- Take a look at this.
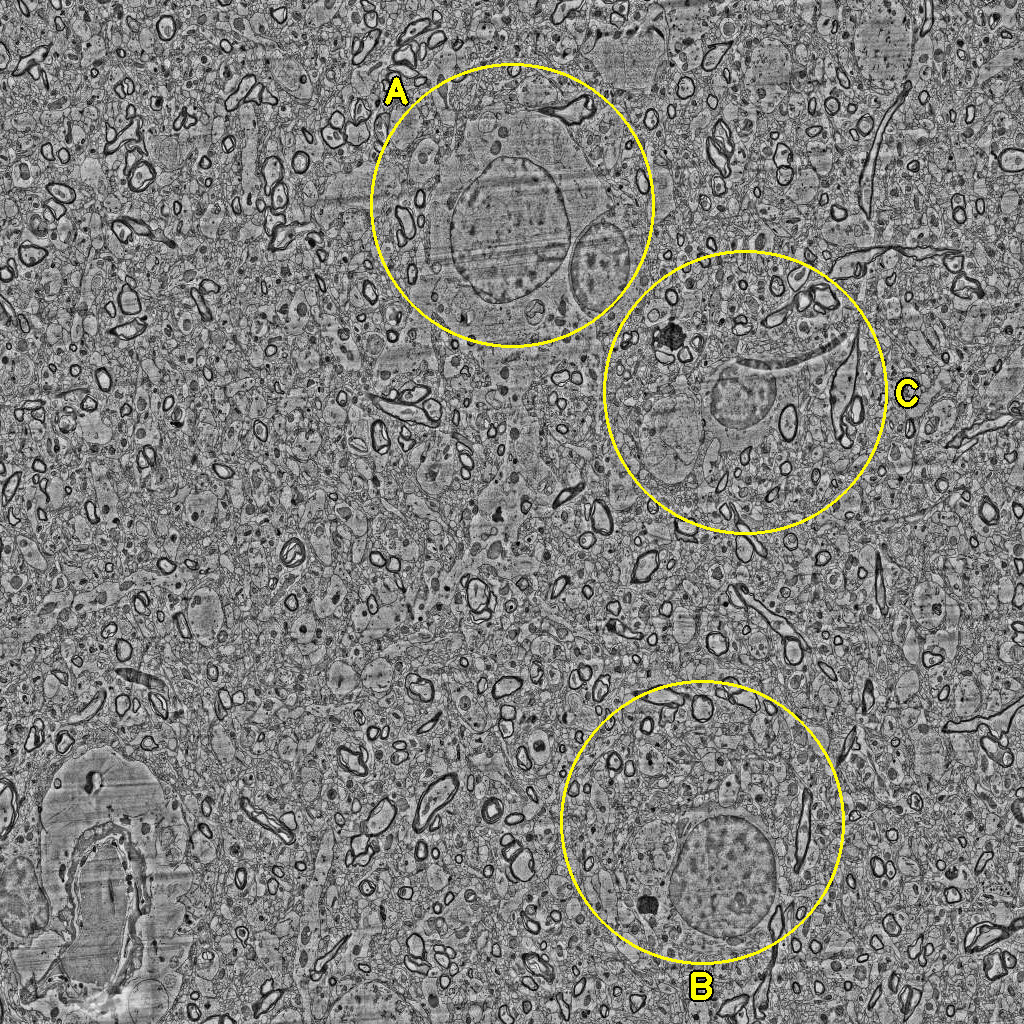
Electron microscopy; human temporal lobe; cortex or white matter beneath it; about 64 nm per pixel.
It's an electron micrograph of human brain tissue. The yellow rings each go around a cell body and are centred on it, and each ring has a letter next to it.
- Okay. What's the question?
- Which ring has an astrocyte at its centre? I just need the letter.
A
